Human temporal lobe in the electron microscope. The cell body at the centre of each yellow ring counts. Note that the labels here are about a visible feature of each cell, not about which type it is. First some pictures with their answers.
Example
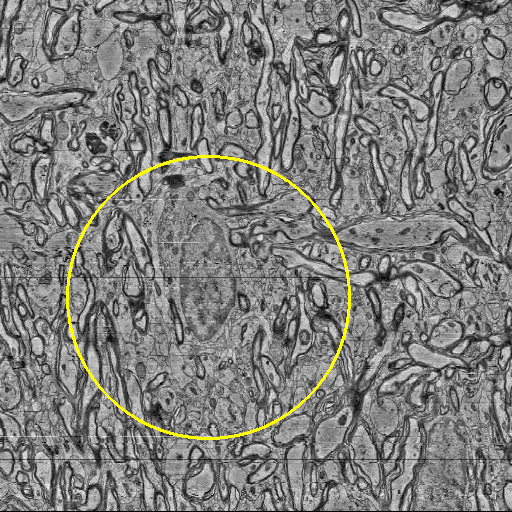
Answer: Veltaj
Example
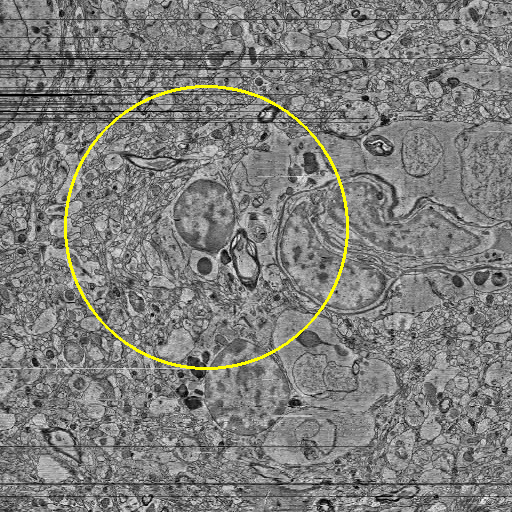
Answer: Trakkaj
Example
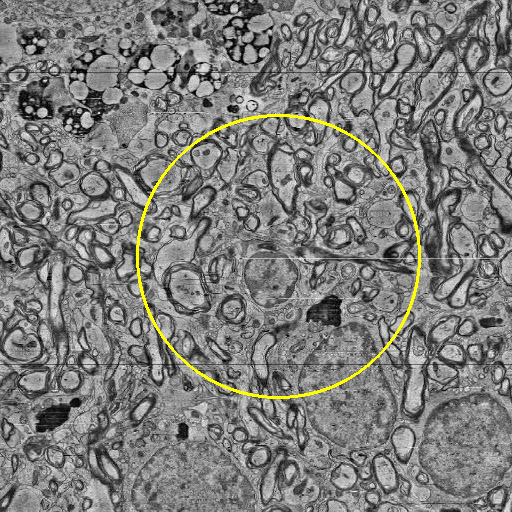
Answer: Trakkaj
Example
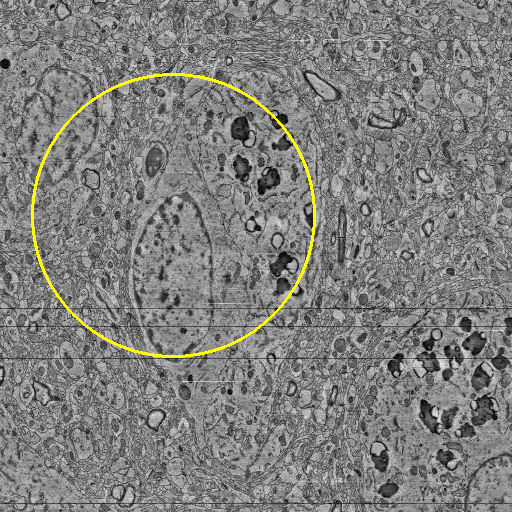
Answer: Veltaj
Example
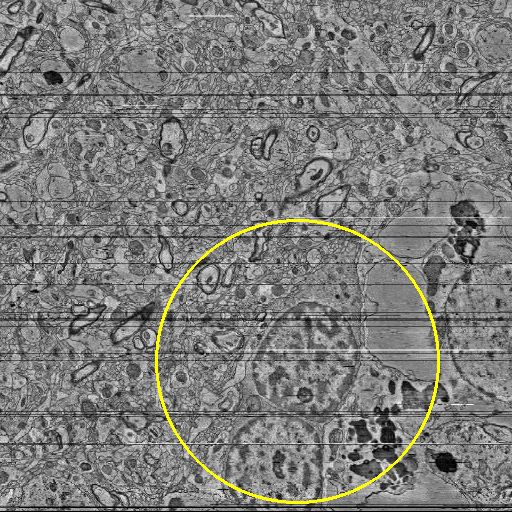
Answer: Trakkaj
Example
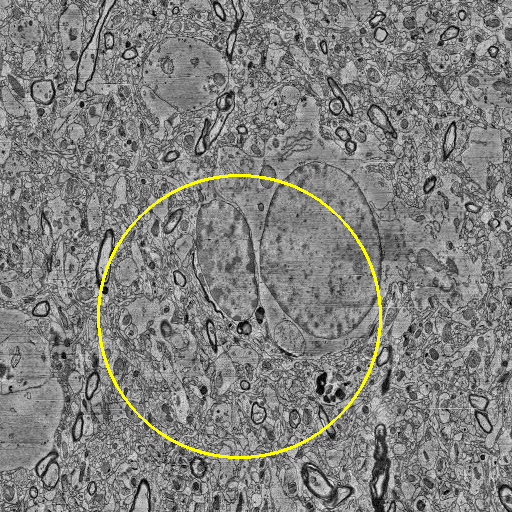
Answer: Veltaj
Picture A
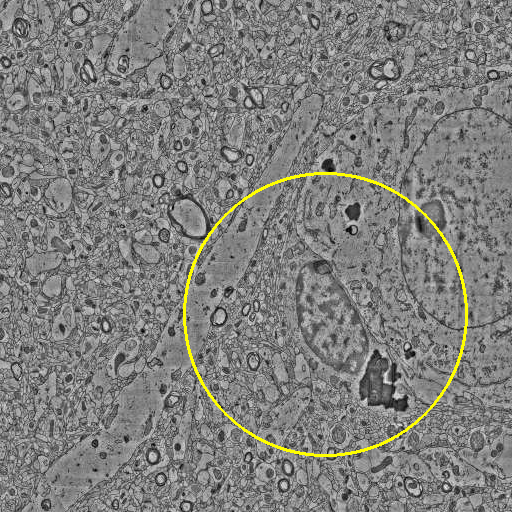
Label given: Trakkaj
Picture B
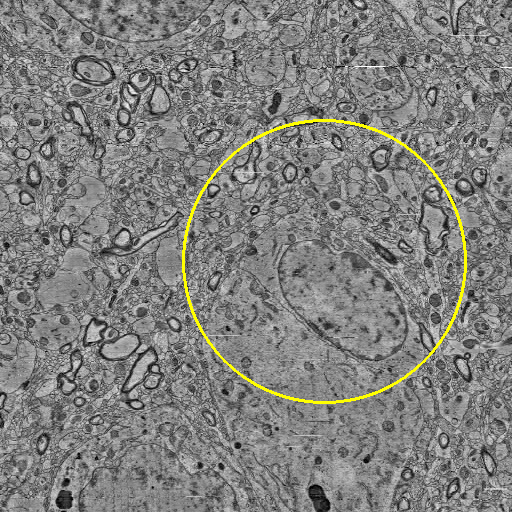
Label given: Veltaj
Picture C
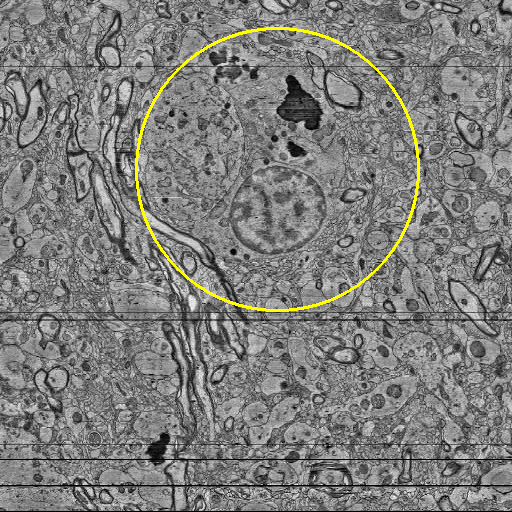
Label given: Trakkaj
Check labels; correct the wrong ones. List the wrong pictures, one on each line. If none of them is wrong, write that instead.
Wrong: A (Trakkaj); correct: Veltaj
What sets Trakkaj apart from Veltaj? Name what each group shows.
Seen in Trakkaj: round or nearly round nuclei; seen in Veltaj: clearly elongated nuclei.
